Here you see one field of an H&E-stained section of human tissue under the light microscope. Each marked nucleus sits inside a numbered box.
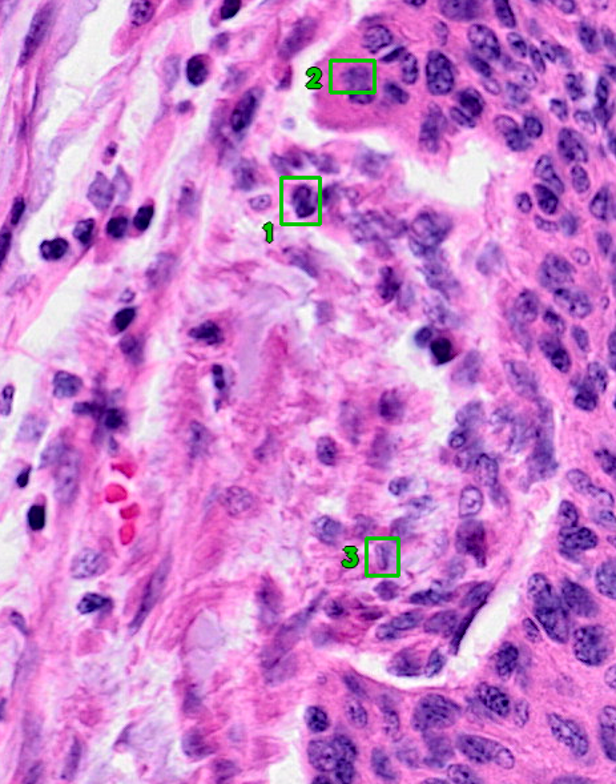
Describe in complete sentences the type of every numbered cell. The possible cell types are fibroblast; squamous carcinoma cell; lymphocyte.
Cell 1 is a lymphocyte. Cell 2 is a squamous carcinoma cell. Cell 3 is a fibroblast.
